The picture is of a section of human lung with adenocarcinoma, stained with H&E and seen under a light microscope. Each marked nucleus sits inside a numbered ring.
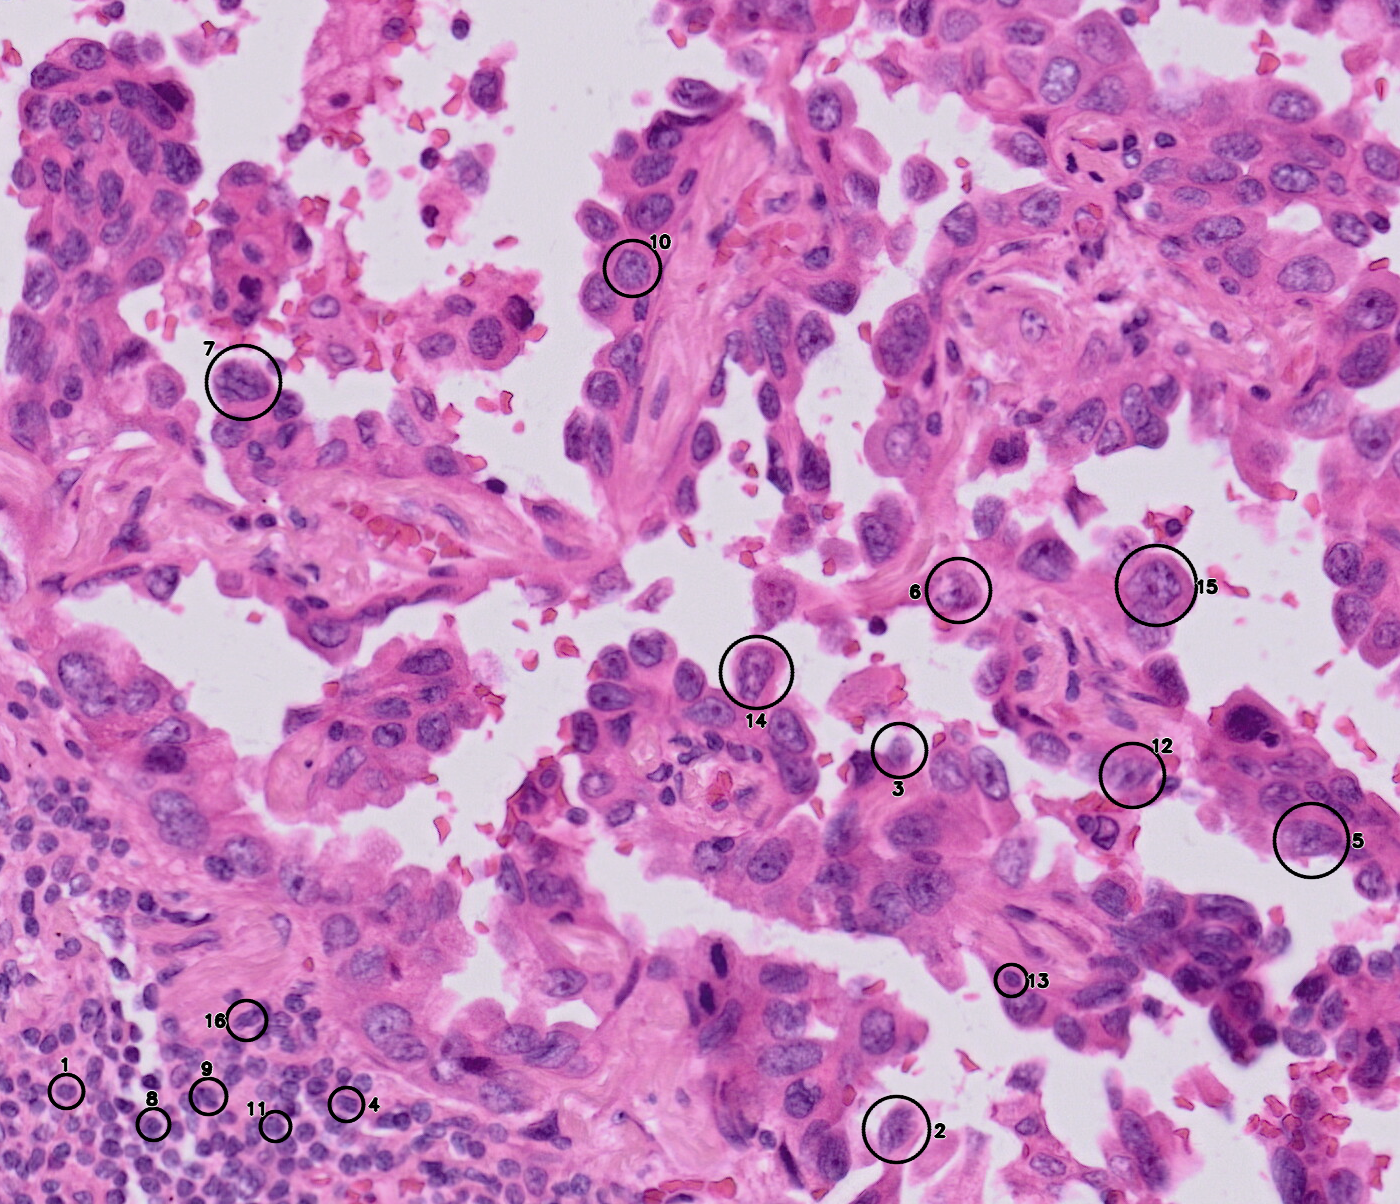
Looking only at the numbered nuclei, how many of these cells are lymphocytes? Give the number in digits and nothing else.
7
